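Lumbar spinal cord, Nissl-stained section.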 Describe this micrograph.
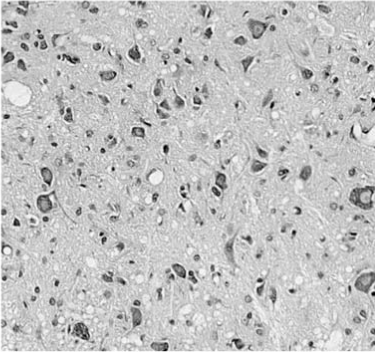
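Grey matter of the ventral horn with many large motor neurons scattered in a pale, finely textured neuropil. The motor neuron cell bodies are large and polygonal to angular, with darkly stained cytoplasm, and some extend thick tapering processes. Many much smaller, darkly stained nuclei of glial cells lie between them. Small round clear spaces are scattered through the neuropil.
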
